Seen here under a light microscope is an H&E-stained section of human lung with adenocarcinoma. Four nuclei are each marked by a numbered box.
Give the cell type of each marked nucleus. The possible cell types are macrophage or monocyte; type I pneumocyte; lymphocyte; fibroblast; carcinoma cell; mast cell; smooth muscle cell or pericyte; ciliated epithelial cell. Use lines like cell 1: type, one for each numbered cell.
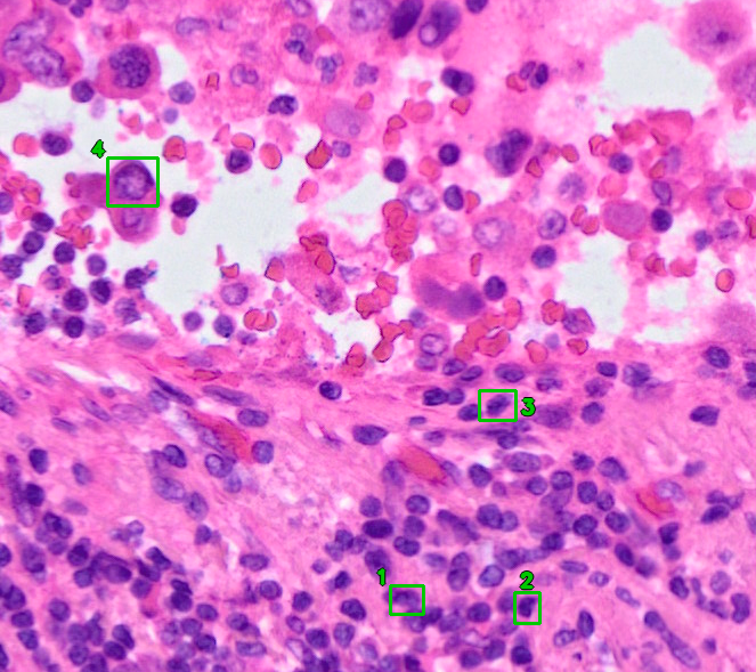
cell 1: lymphocyte
cell 2: lymphocyte
cell 3: lymphocyte
cell 4: carcinoma cell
